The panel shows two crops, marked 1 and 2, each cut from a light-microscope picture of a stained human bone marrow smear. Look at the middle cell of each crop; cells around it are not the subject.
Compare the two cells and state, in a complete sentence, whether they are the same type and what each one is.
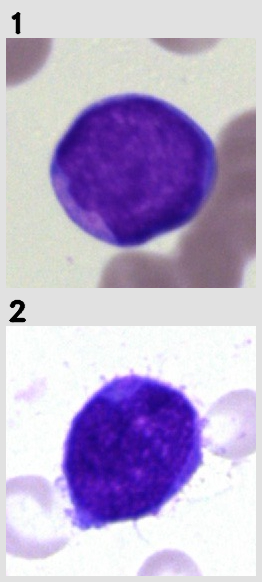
Yes, both crops do show blasts in the middle.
